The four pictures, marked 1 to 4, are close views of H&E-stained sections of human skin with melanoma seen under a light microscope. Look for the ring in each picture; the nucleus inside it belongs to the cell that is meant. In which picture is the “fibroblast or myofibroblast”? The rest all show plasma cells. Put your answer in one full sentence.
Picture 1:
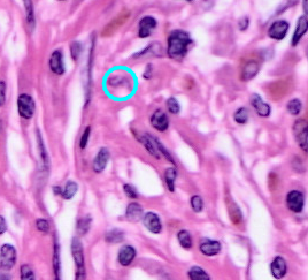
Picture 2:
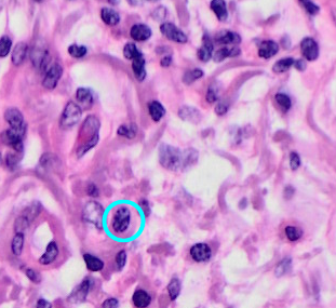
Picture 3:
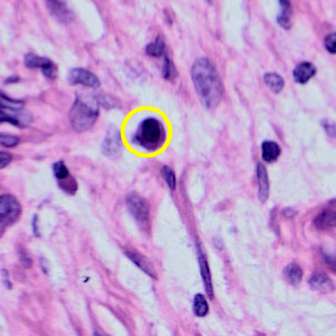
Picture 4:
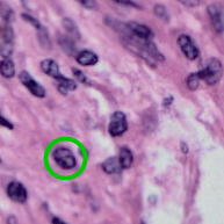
Picture 1 is the one that shows the “fibroblast or myofibroblast”.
